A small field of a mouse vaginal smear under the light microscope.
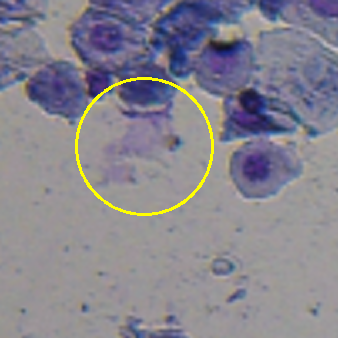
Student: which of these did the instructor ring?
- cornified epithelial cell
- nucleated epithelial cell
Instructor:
The cell I ringed is a cornified epithelial cell.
